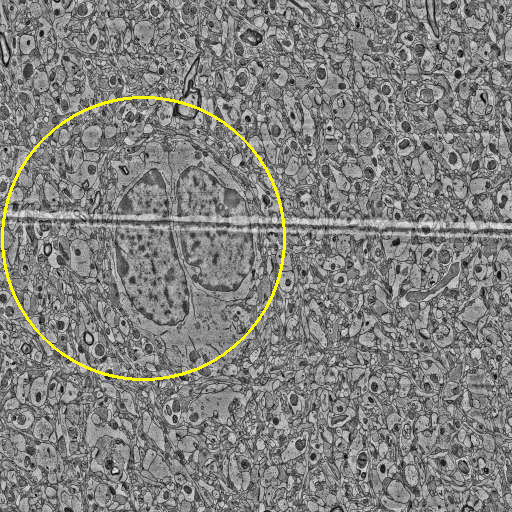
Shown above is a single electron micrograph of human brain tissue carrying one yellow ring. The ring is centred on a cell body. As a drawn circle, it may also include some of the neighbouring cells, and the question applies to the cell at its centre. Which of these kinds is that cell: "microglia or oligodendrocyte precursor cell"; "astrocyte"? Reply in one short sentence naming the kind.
The cell marked by the ring is a microglial cell or oligodendrocyte precursor cell.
